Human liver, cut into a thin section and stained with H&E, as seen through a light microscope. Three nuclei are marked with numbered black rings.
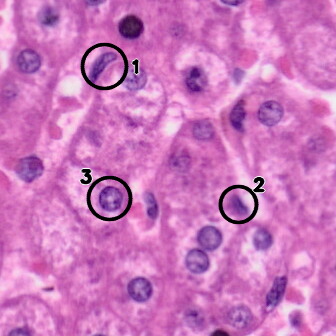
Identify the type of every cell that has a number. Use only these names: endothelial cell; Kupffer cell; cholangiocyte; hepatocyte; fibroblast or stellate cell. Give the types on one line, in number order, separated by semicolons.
Kupffer cell; endothelial cell; hepatocyte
